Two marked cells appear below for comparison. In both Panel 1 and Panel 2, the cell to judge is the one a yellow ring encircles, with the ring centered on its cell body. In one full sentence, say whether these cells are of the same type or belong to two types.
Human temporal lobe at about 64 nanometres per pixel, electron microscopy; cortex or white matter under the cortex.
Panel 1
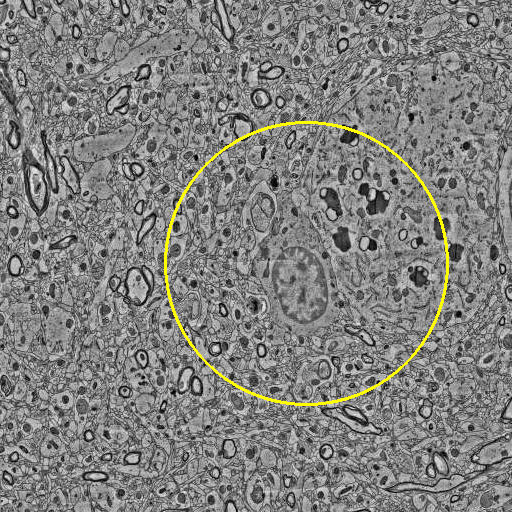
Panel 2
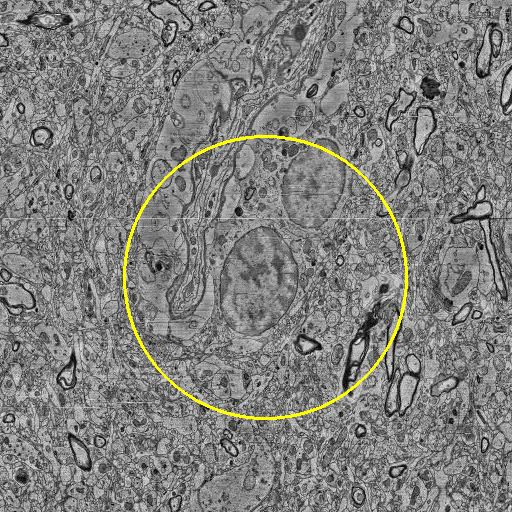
The cell centered in the Panel 1 ring and the one in Panel 2 are of the same type.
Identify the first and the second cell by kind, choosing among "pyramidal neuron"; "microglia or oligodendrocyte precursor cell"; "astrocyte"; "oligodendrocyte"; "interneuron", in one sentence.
Each of the two rings surrounds an oligodendrocyte.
